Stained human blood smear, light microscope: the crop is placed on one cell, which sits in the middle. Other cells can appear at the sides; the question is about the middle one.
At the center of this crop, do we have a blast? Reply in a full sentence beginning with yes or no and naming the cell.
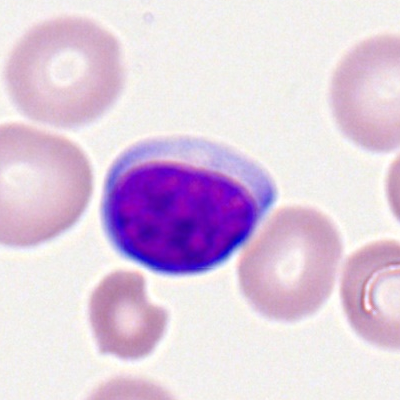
No, the central cell is not a blast; it is a lymphocyte instead.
